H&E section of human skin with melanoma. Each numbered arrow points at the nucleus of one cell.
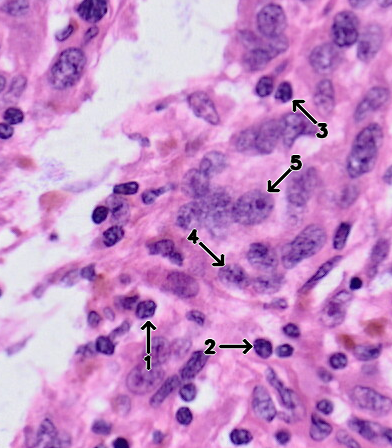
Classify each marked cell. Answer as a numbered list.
1. lymphocyte
2. lymphocyte
3. lymphocyte
4. melanoma cell
5. melanoma cell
